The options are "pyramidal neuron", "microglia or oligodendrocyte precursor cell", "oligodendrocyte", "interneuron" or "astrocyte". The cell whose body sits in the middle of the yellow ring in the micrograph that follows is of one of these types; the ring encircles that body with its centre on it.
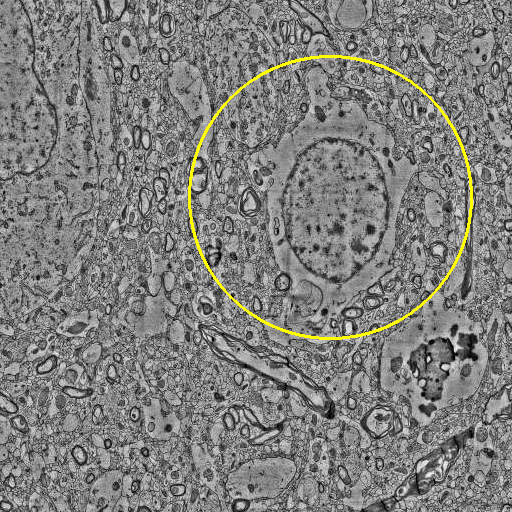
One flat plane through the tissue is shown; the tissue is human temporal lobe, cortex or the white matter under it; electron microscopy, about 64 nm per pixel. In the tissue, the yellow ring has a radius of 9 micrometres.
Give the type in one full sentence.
Going by the micrograph, the cell centred in the yellow ring is an astrocyte.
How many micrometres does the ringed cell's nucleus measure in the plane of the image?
The ringed cell's nucleus measures approximately 9 by 7 micrometres in this plane.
